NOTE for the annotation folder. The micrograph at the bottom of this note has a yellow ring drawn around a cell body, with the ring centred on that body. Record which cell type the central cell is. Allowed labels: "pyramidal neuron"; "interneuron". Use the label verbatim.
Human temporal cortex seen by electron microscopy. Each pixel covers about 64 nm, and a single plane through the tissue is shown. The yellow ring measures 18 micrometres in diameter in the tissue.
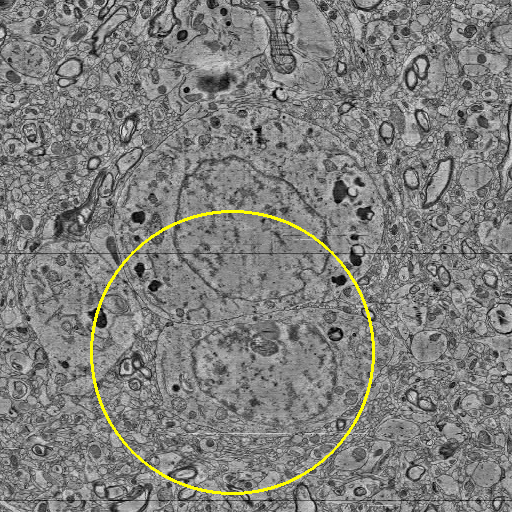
interneuron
